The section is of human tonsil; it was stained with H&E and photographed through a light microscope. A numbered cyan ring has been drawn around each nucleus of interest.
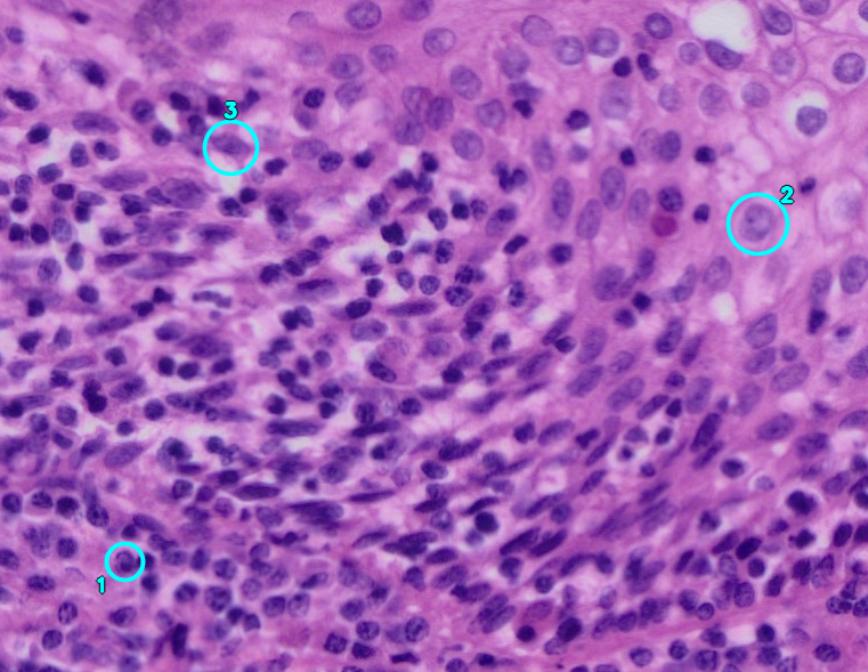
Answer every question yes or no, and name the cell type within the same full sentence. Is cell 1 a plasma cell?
Yes, for number 1, the cell is a plasma cell.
